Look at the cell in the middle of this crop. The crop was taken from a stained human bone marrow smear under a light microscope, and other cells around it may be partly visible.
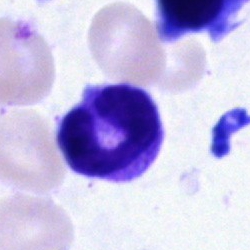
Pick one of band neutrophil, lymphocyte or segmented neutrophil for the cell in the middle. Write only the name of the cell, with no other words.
segmented neutrophil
